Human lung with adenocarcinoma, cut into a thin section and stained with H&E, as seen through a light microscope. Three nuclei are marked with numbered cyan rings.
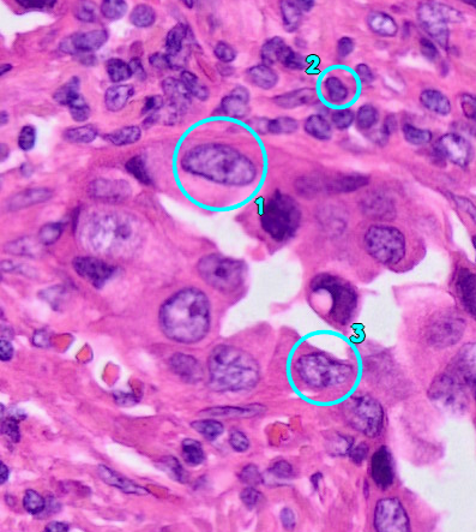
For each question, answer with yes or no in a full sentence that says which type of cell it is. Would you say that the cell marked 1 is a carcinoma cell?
Yes, the cell carrying number 1 is a carcinoma cell.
